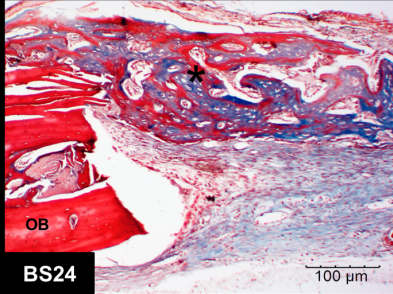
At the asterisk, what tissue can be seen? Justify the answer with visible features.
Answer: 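Irregular trabeculae of matrix stained red and blue lie in the region of the asterisk. The trabeculae enclose spaces with vessels and loose tissue. The tissue extends from a compact red-stained bone edge at the left. So: new bone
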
